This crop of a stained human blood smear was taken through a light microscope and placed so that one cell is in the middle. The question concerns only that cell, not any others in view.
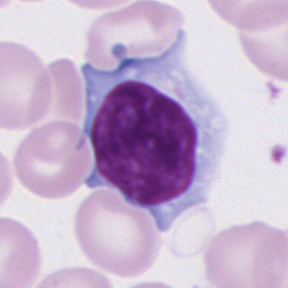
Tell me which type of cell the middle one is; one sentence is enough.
In this crop, the cell at the very middle is a typical lymphocyte.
